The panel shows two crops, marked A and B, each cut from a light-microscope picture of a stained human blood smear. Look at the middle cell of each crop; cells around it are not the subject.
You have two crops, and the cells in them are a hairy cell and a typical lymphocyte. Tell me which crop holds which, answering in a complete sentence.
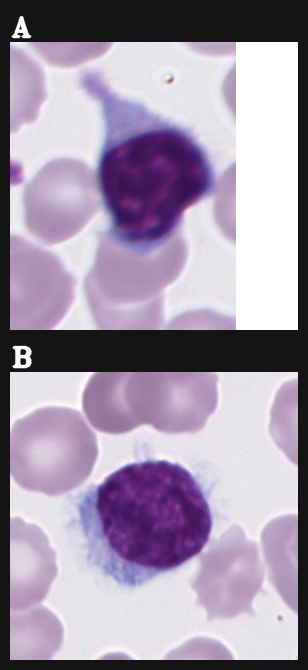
In short, crop A is a typical lymphocyte and crop B is a hairy cell.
